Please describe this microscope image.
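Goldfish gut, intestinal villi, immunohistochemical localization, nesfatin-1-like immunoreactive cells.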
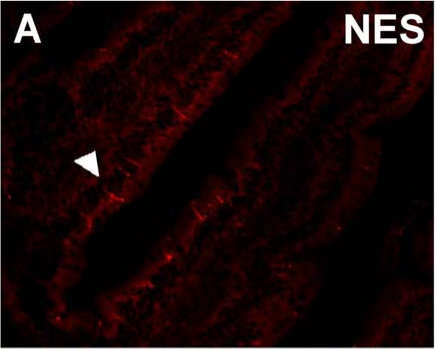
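Set within it are individual, brighter red cells, thin and elongated, lying perpendicular to the surface of the lining. The white arrowhead points to one of these slender labelled cells. Their sparse, solitary distribution among the lining cells is typical of enteroendocrine cells.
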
